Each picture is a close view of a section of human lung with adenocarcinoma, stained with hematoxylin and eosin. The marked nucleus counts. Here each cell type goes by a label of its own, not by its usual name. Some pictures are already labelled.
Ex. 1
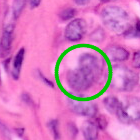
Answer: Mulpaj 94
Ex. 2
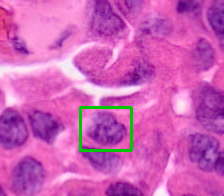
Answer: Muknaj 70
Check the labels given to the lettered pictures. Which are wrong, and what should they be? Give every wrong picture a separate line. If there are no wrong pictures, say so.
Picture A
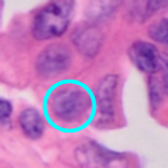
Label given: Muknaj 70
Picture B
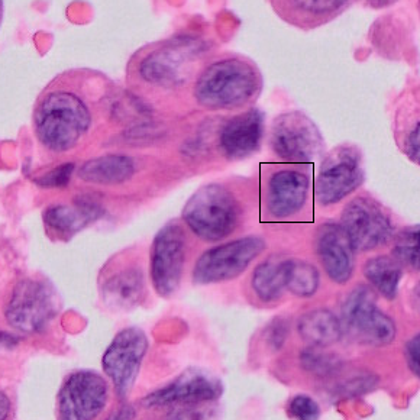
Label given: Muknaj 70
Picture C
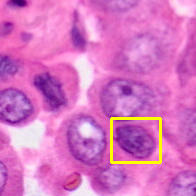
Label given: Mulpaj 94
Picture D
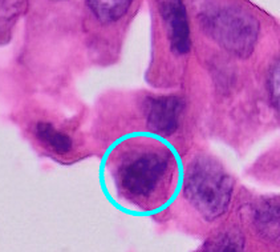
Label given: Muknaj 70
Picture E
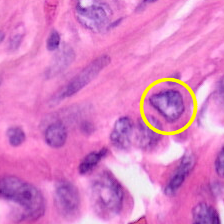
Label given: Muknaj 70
C: change Mulpaj 94 to Muknaj 70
